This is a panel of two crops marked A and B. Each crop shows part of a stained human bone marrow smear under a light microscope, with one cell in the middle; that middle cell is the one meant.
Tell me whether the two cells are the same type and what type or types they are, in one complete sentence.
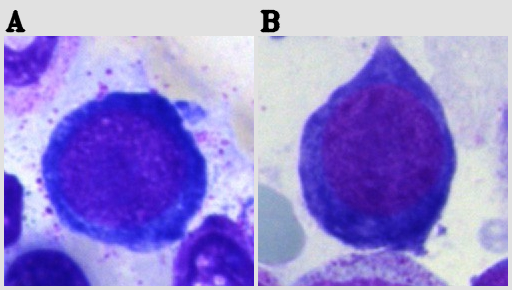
Yes, both of the crops show proerythroblasts.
